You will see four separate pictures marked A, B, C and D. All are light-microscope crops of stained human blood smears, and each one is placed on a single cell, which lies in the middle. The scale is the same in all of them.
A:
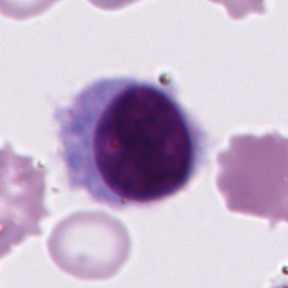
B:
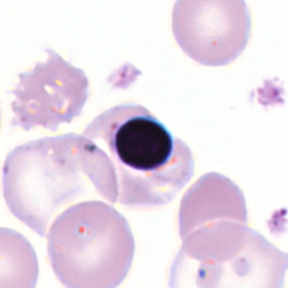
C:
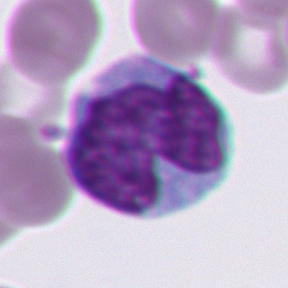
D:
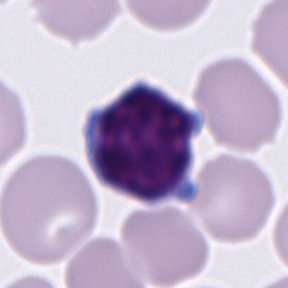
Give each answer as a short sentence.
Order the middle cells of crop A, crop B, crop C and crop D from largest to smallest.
The order is C, A, D, B, beginning with the largest.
